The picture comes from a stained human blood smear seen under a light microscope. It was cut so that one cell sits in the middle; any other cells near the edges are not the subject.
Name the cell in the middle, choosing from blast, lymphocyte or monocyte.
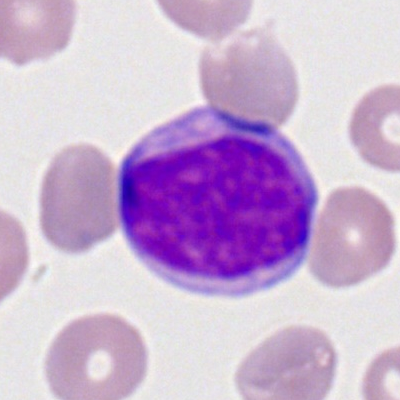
blast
